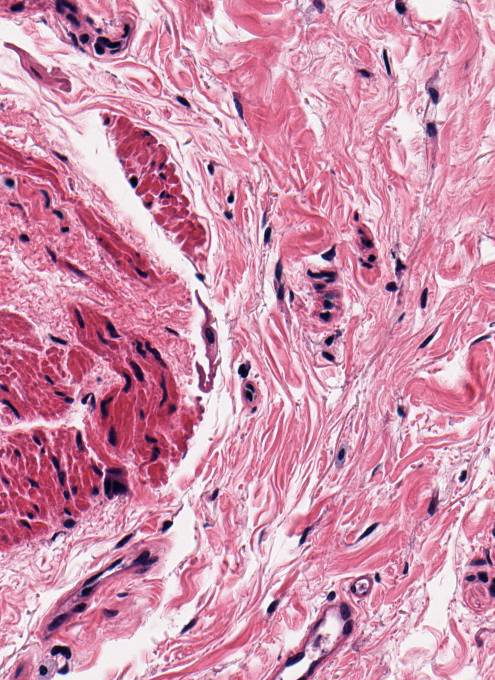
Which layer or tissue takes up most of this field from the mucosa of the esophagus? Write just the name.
loose connective tissue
